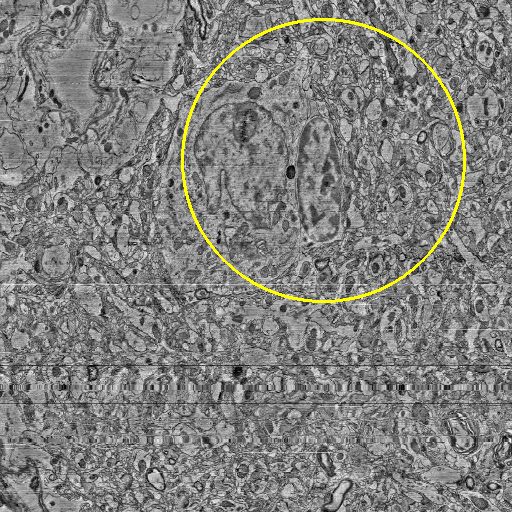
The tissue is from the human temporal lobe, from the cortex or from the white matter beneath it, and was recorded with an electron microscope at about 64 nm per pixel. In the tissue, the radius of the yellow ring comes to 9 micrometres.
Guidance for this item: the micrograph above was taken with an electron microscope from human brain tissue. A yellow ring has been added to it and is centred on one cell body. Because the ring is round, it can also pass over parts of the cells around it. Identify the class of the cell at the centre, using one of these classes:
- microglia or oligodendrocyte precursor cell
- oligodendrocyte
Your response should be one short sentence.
The ring surrounds the body of a microglial cell or oligodendrocyte precursor cell.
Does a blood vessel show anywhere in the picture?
Yes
